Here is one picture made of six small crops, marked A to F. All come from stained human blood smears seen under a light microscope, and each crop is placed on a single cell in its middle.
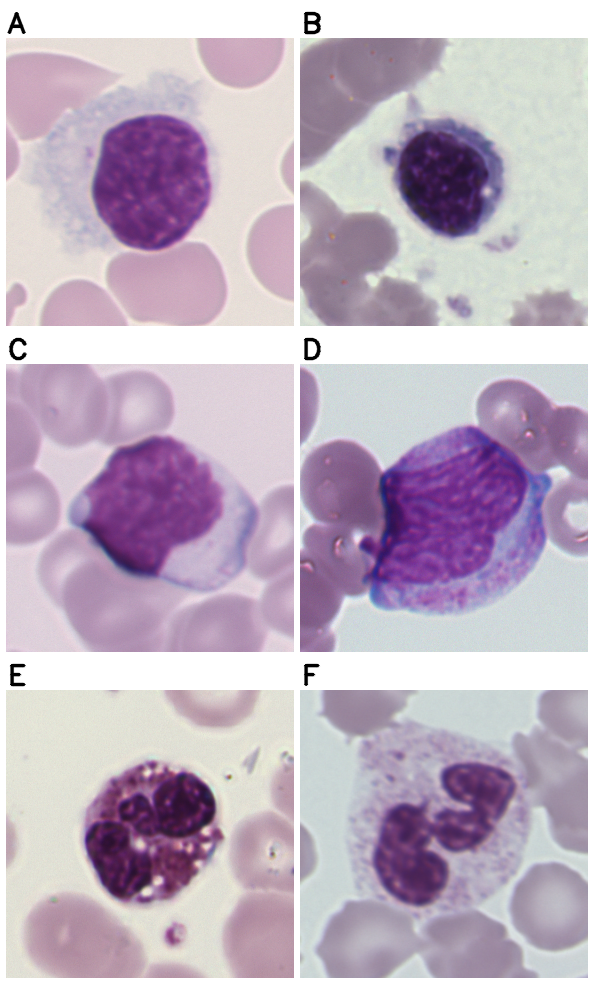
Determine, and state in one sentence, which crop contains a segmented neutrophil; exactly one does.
Of the crops shown, crop F depicts a segmented neutrophil.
